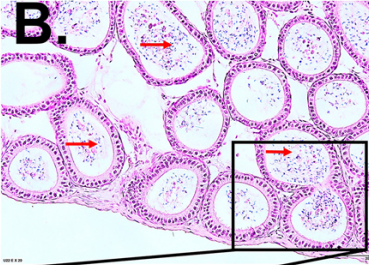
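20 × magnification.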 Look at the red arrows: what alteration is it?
Spermatozoa thinning and tubular debris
